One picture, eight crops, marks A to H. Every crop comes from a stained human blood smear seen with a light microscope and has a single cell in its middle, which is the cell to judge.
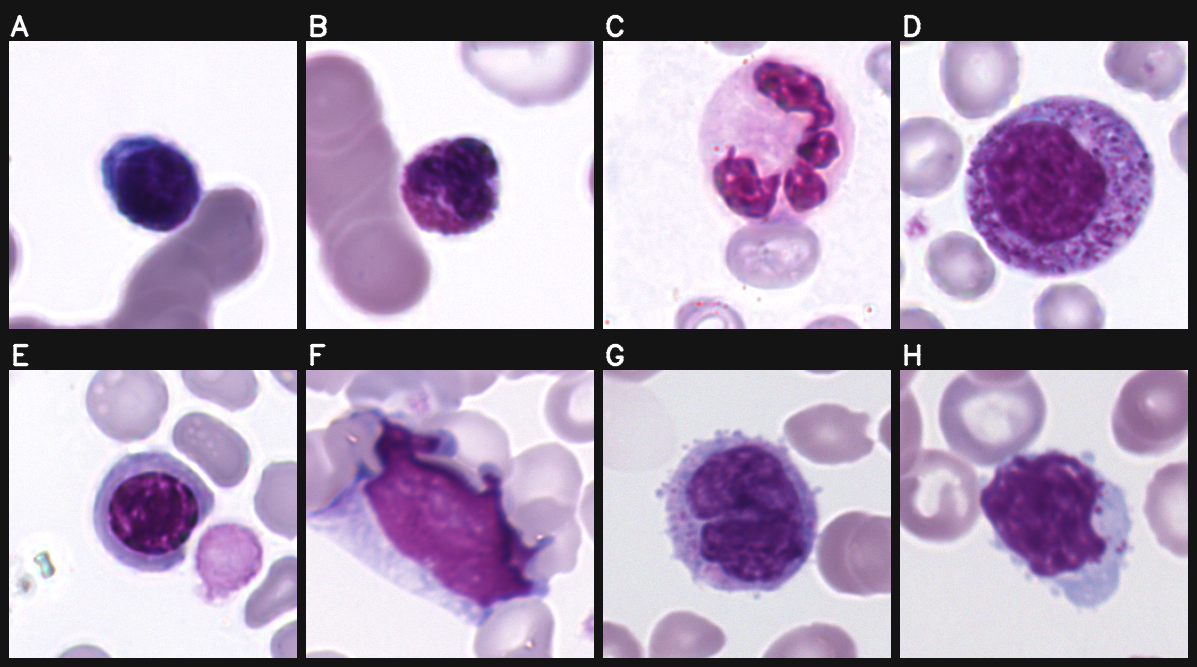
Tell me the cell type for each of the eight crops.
A: plasma cell
B: eosinophil
C: segmented neutrophil
D: promyelocyte
E: normoblast
F: typical lymphocyte
G: monocyte
H: large granular lymphocyte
